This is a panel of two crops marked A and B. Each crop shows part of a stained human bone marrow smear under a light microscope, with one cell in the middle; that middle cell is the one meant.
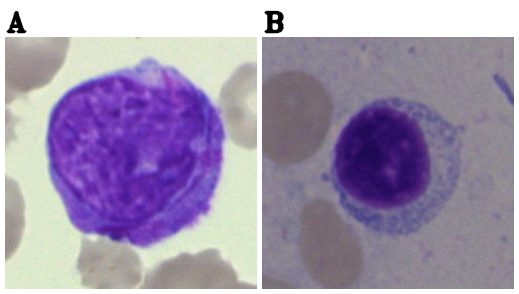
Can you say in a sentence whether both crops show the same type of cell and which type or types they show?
No, a blast is centred in crop A, and a lymphocyte is centred in crop B.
